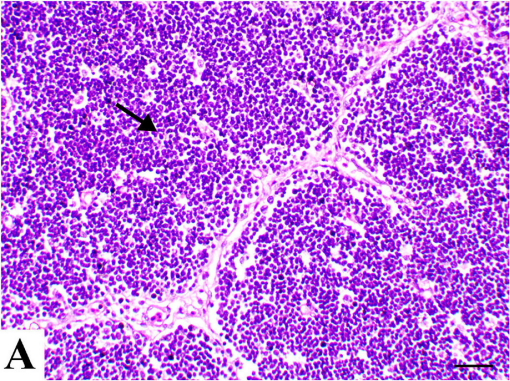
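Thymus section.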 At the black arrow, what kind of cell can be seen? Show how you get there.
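The arrow points into a sheet of densely packed small round cells. The cells have round, dark purple nuclei with very little cytoplasm.
Conclusion: normal thymocytes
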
